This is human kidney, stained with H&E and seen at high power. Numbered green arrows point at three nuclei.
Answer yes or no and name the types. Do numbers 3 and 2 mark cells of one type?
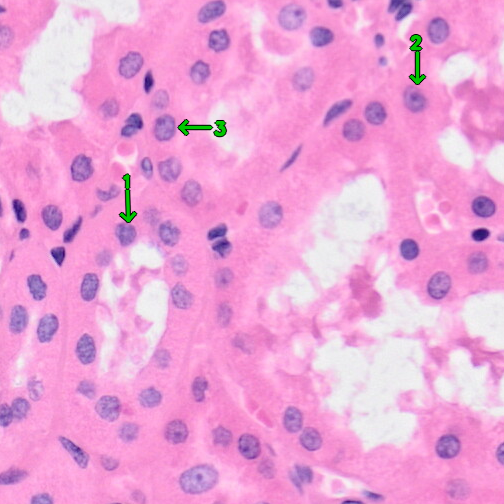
Yes, the numbered cells 3 and 2 are both proximal tubule cells.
